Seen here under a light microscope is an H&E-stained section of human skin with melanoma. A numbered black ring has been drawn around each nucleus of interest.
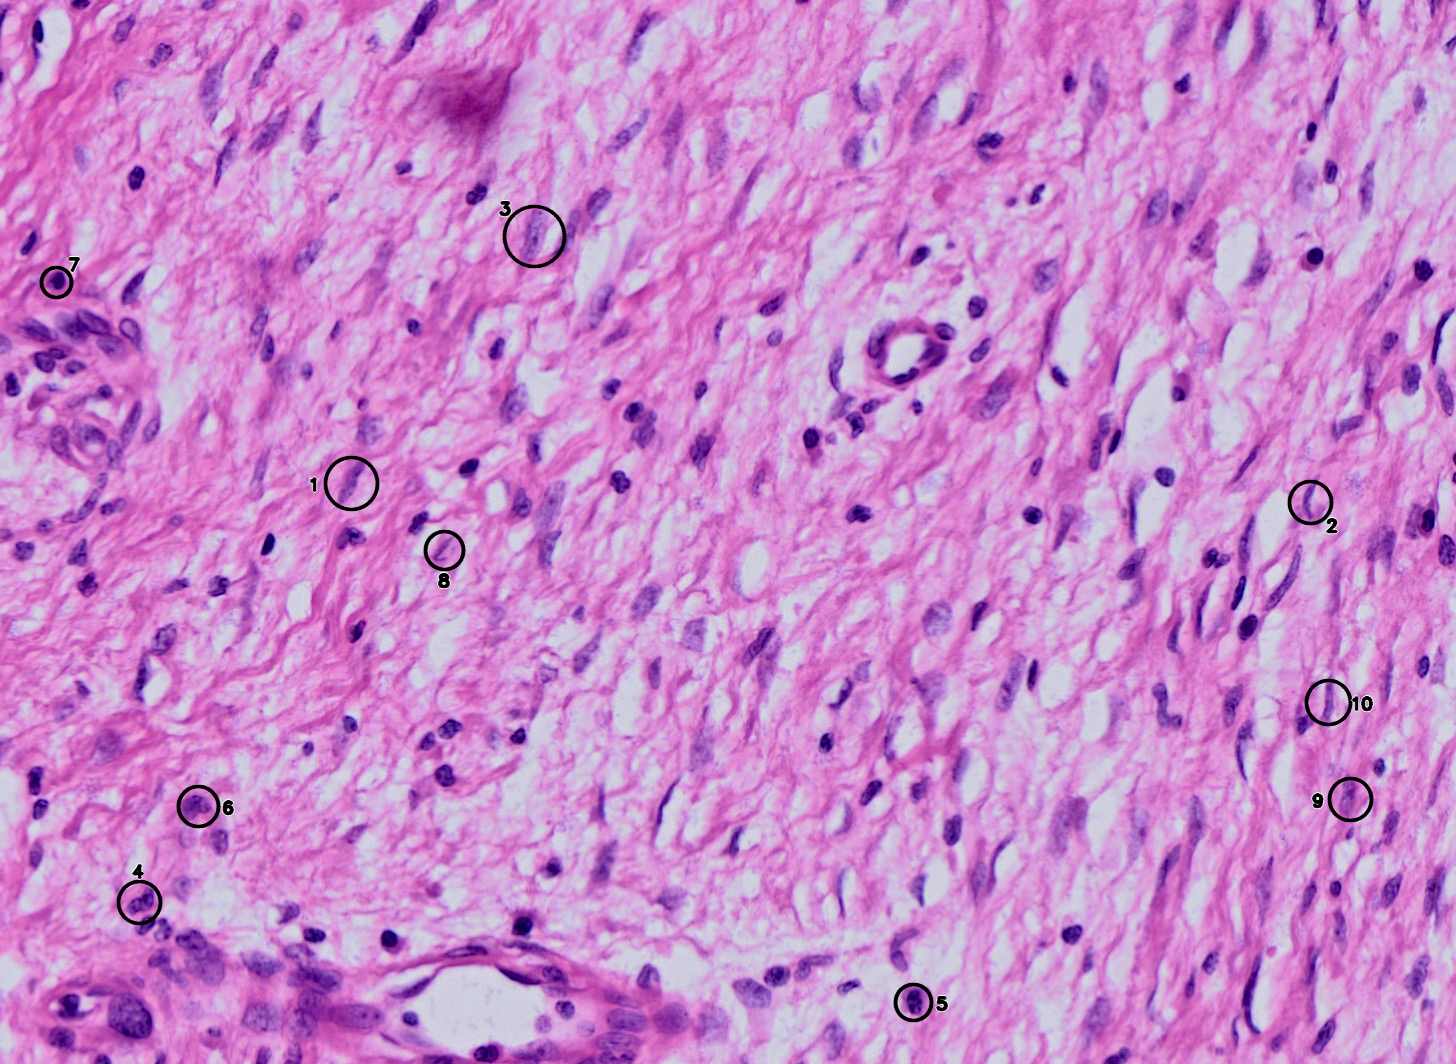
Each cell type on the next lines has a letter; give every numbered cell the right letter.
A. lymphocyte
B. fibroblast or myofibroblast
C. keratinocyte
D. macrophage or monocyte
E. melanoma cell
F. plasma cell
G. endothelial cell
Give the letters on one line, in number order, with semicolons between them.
B; B; B; D; F; D; A; B; B; B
